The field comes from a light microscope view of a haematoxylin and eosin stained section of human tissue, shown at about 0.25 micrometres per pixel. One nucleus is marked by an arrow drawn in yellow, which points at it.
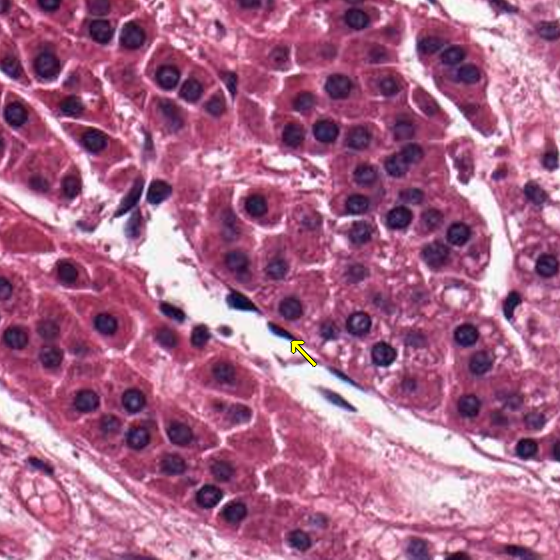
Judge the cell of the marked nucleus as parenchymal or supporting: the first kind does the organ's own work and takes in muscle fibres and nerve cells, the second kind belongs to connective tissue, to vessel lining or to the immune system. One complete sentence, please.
The marked nucleus lies in a supporting cell.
